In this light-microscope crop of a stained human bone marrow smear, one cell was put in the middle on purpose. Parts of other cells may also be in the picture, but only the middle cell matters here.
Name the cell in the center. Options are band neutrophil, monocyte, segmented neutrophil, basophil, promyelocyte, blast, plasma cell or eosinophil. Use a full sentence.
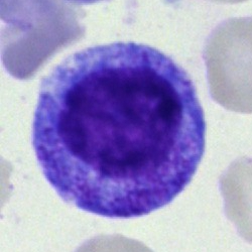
The center cell of this crop is a promyelocyte.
